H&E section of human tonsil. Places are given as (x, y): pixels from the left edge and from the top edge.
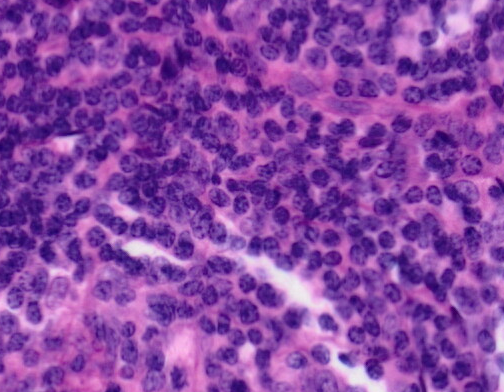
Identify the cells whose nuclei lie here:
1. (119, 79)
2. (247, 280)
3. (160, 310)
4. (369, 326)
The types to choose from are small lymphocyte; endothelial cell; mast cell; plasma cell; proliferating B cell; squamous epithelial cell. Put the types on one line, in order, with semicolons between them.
small lymphocyte; small lymphocyte; proliferating B cell; small lymphocyte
